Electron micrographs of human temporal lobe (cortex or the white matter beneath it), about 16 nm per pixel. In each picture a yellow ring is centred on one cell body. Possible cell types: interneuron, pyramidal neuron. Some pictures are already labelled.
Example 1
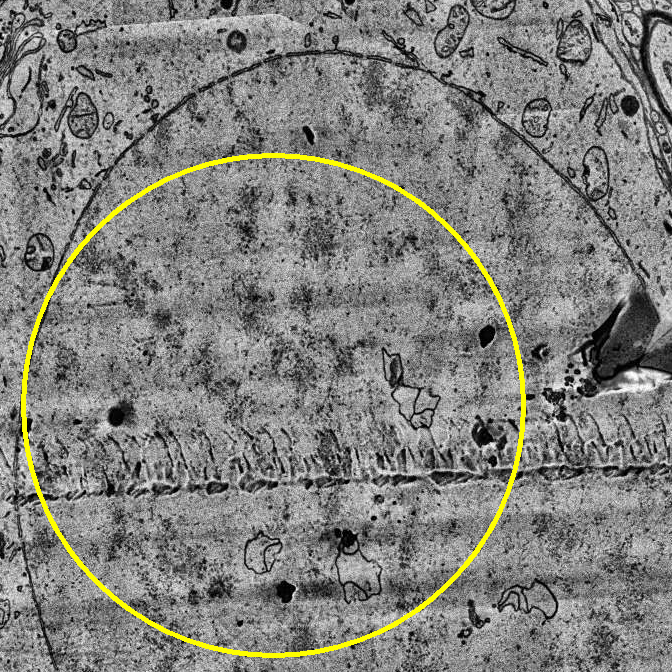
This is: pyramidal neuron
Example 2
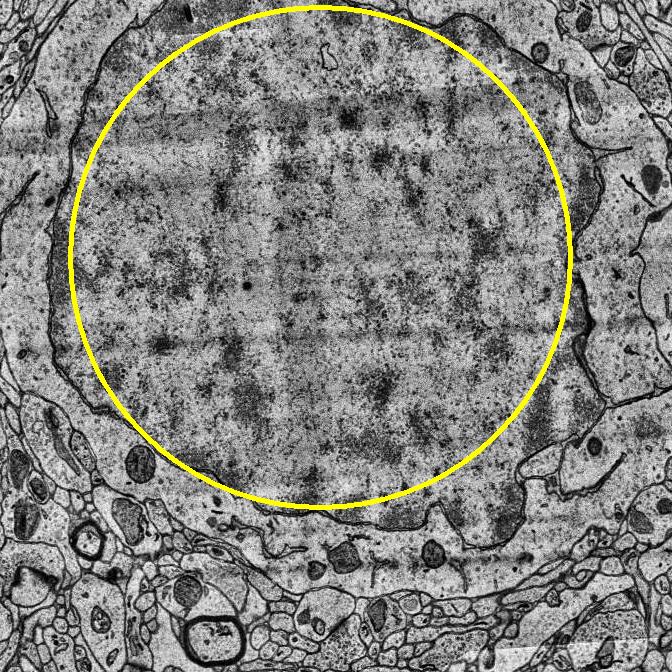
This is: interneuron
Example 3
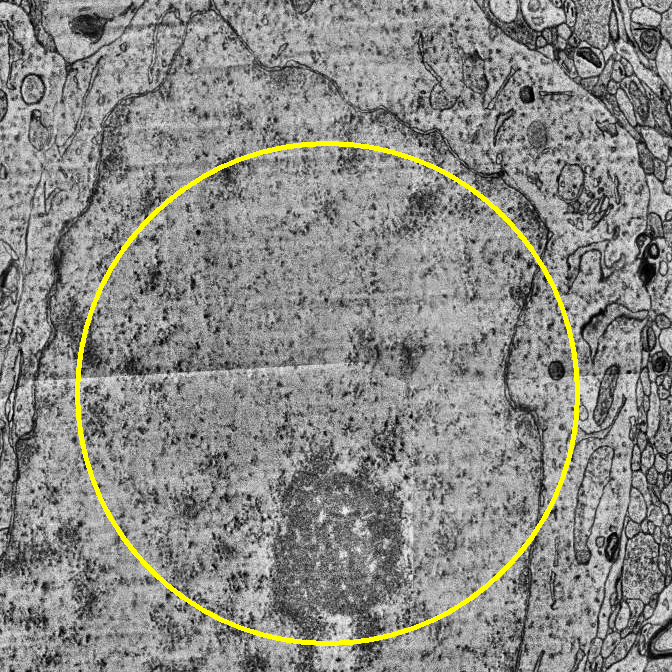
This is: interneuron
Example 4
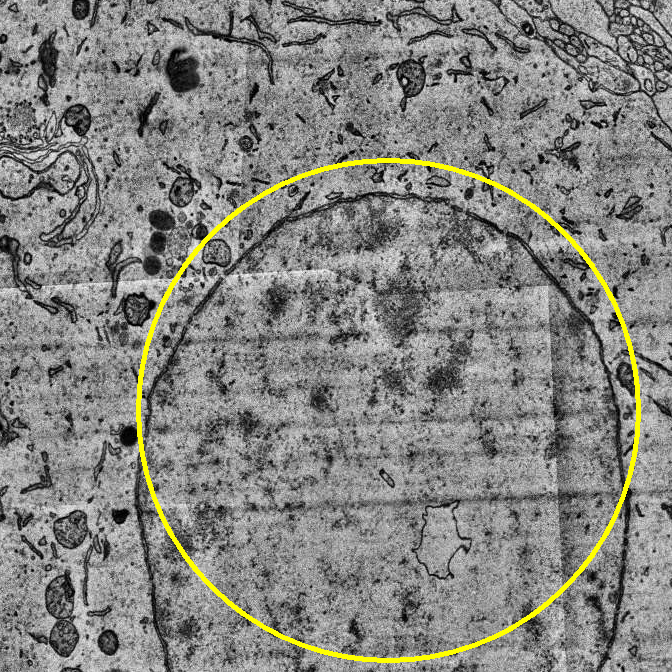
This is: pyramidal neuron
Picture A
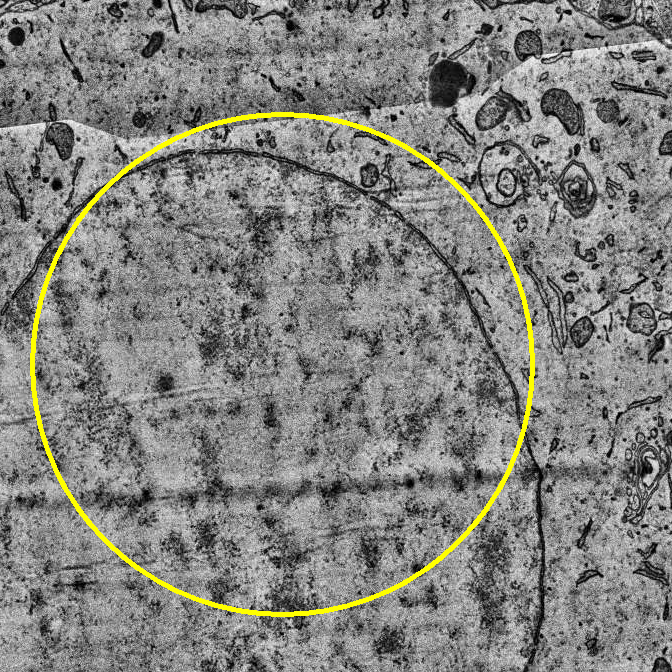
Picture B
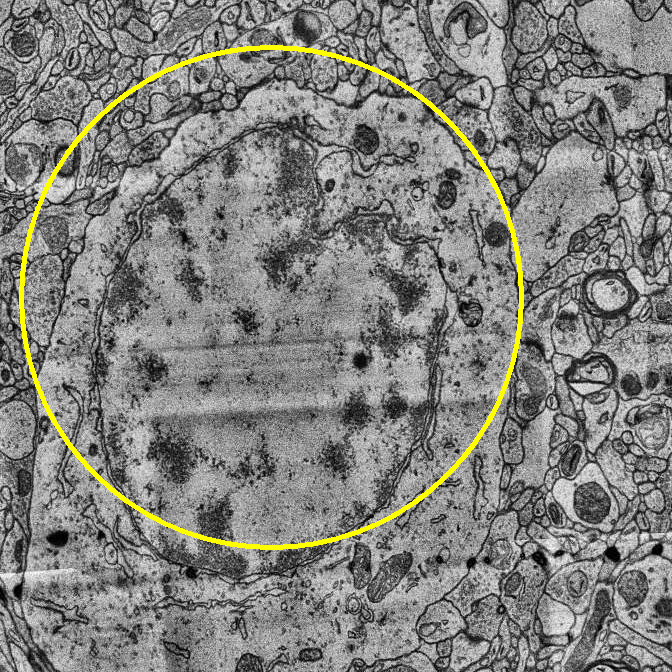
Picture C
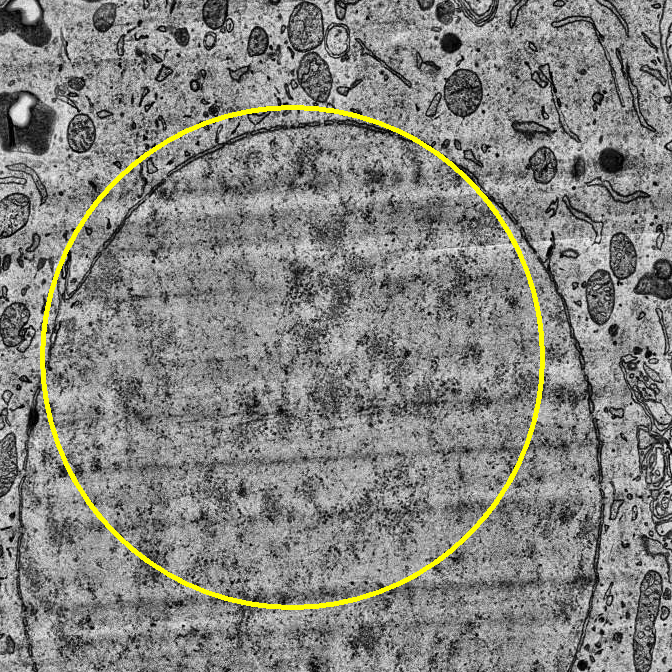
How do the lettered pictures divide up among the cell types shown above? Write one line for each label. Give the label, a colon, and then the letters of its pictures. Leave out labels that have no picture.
interneuron: B
pyramidal neuron: A, C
